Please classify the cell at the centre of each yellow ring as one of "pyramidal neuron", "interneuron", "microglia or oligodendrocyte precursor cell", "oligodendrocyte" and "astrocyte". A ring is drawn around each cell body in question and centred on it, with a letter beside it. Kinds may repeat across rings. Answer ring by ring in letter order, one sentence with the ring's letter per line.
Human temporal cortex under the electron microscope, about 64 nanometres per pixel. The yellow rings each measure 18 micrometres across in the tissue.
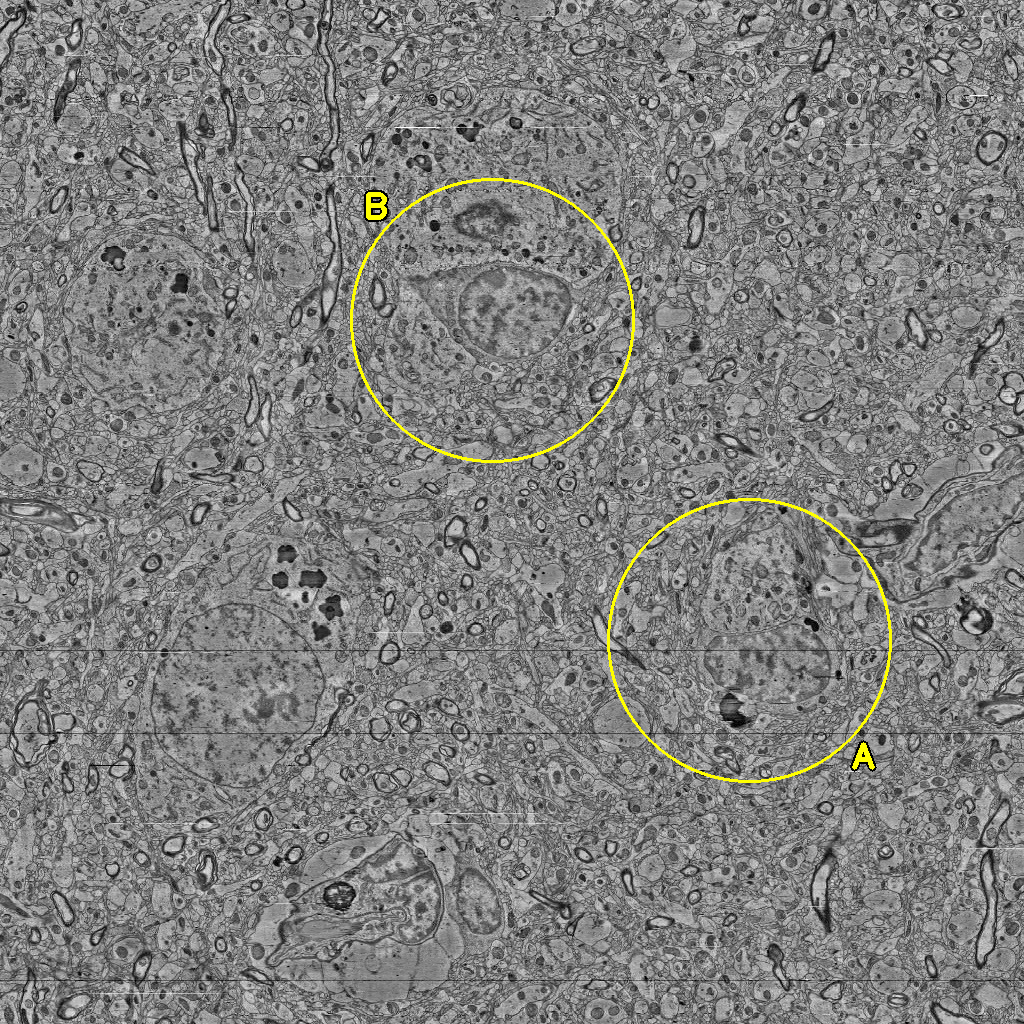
The cell at the heart of ring A is an oligodendrocyte.
The cell at the heart of ring B is an oligodendrocyte.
